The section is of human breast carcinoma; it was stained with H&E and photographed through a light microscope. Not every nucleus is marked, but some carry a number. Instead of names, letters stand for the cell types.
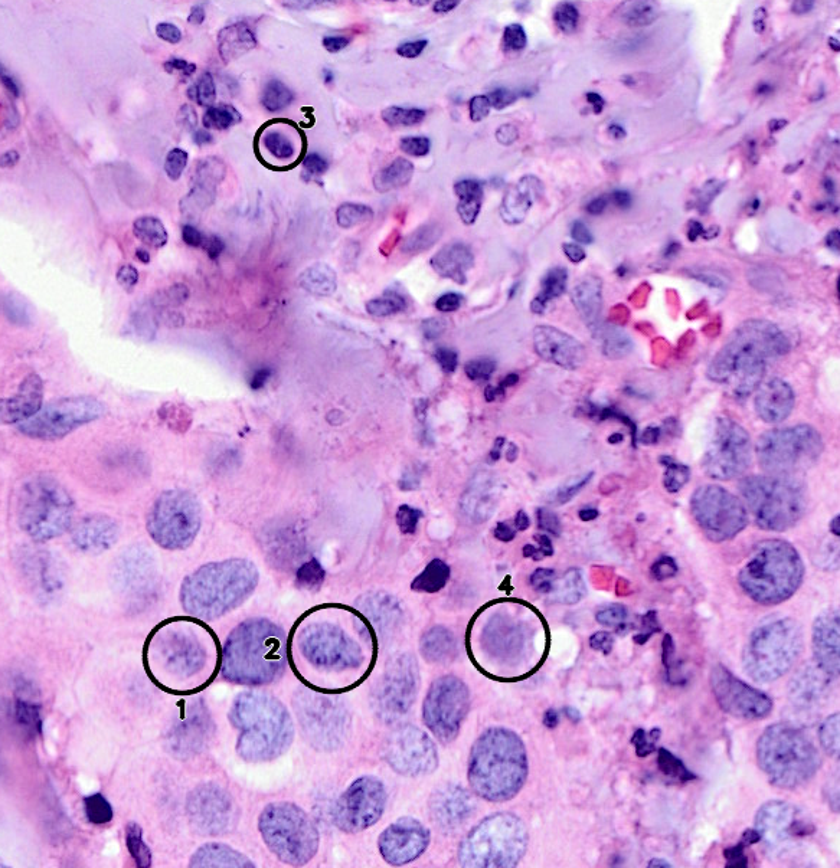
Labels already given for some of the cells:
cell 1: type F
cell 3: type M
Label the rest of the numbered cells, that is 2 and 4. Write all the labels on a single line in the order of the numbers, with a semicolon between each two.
type F; type F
